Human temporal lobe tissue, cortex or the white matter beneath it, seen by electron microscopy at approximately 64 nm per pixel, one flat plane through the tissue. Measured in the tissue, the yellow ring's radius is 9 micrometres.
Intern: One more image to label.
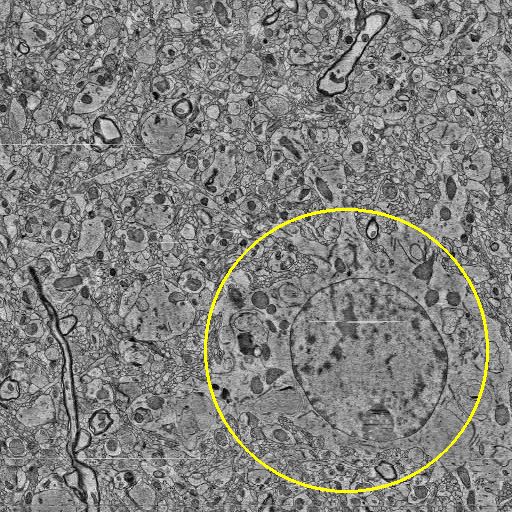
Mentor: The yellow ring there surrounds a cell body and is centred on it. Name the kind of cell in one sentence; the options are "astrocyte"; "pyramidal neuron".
The ring marks the cell body of an astrocyte.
